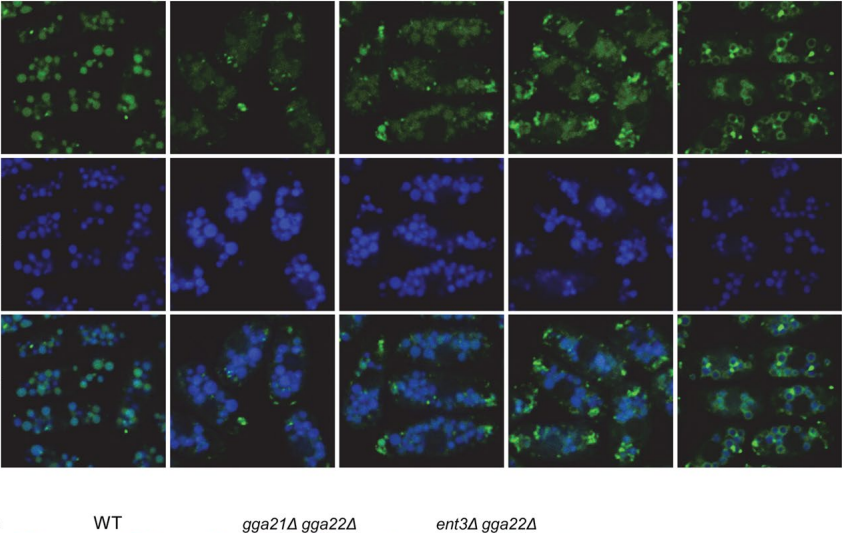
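These are rod-shaped yeast cells, each holding a cluster of small round vacuoles that show blue. The vacuoles vary in size and lie packed together along the length of each cell. In the leftmost column the green fluorescence fills the interior of many of the round vacuoles, so that green and blue overlap in the merged row. In the rightmost column the green forms bright rings around the rims of round compartments rather than filling them.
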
